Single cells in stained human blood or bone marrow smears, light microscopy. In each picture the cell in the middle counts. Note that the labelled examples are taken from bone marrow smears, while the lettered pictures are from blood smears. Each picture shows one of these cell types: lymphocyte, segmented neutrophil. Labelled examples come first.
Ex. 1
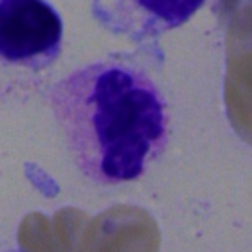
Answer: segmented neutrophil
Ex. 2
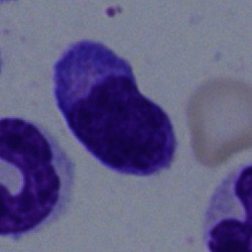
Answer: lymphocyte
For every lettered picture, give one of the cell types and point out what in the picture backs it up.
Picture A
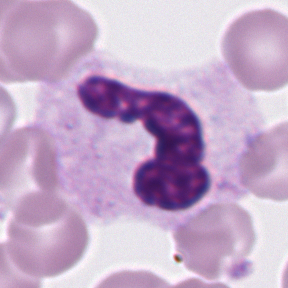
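segmented neutrophil: The cytoplasm is plentiful relative to the nucleus.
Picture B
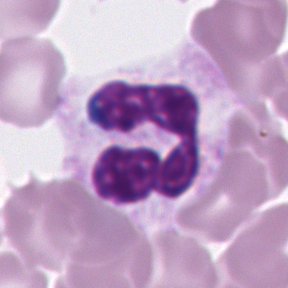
segmented neutrophil: The cytoplasm is abundant and pale pinkish-lilac.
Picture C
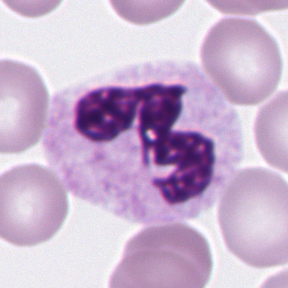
segmented neutrophil: The cytoplasm is plentiful and pale pinkish-lilac rather than blue.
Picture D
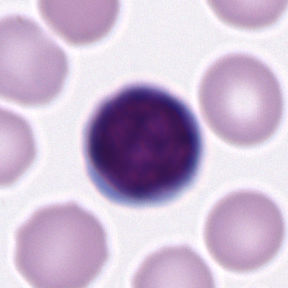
lymphocyte: The nucleus fills almost the whole cell.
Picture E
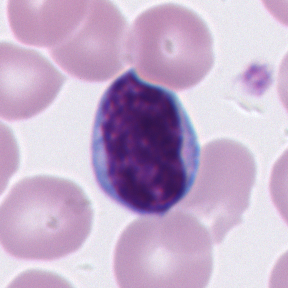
lymphocyte: The cytoplasm is a thin rim that is broadest on the left side.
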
